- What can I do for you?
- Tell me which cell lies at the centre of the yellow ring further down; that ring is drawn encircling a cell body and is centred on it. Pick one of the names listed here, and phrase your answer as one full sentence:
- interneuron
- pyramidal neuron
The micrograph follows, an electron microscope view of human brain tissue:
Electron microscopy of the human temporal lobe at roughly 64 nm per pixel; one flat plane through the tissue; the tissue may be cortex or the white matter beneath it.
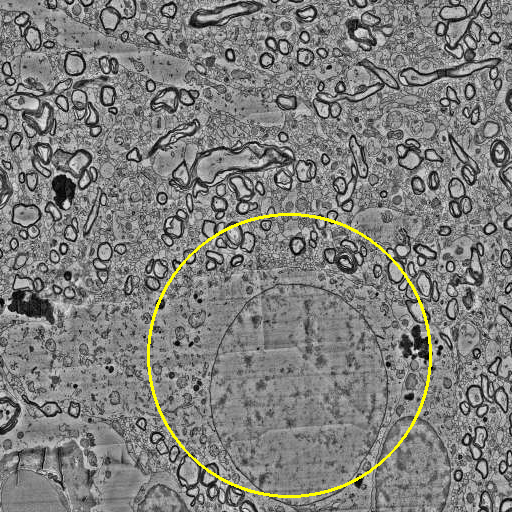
The cell whose body lies at the centre of the yellow ring is a pyramidal neuron.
